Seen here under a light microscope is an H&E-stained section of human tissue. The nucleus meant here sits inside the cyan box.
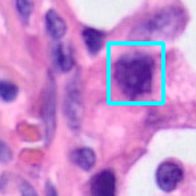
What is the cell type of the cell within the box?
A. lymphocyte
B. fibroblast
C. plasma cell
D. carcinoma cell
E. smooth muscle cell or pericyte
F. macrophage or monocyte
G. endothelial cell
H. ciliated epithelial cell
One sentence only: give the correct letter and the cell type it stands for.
Option D, which has the cell within the box as a carcinoma cell, is the correct choice.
